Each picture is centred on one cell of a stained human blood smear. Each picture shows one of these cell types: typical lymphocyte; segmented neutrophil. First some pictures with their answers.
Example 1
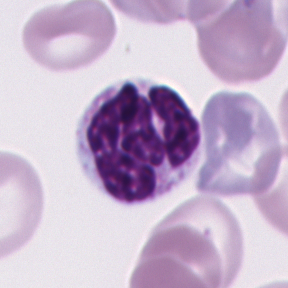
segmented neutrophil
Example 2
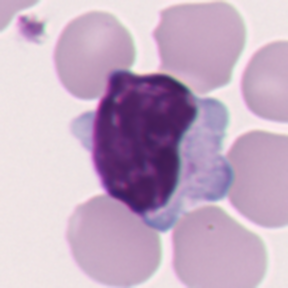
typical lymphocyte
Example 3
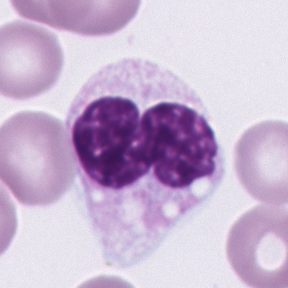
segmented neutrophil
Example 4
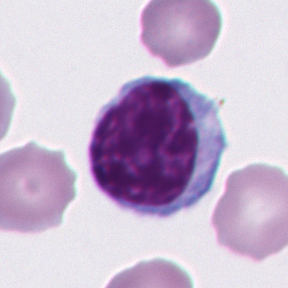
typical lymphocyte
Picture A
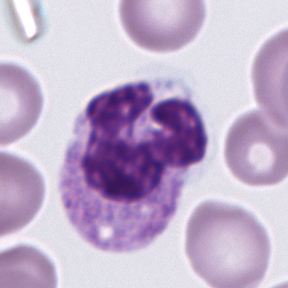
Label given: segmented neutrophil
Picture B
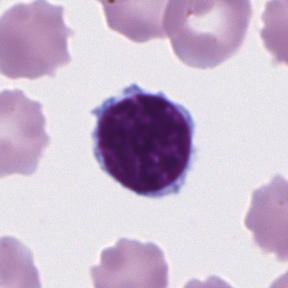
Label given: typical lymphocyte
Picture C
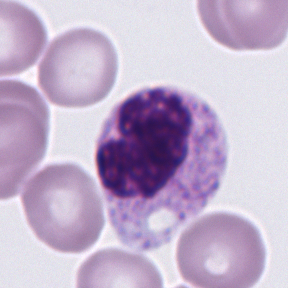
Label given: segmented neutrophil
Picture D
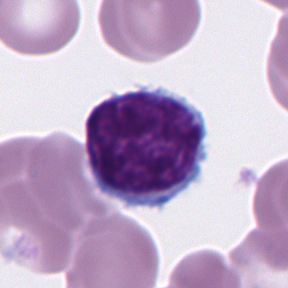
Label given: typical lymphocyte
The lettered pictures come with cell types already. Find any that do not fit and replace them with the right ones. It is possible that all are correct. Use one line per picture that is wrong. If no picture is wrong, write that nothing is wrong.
Every label is right.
